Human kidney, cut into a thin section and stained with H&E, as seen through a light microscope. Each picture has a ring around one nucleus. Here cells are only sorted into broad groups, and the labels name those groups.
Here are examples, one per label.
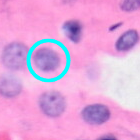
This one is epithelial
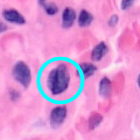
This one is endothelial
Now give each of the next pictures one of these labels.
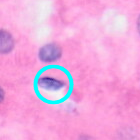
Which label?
endothelial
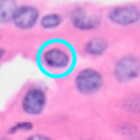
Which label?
epithelial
